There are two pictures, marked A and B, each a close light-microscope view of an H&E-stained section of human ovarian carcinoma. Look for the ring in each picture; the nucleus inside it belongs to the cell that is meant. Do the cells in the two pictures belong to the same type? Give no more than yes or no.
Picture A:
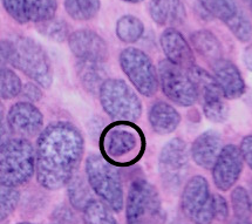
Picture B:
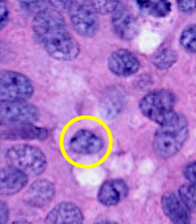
yes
